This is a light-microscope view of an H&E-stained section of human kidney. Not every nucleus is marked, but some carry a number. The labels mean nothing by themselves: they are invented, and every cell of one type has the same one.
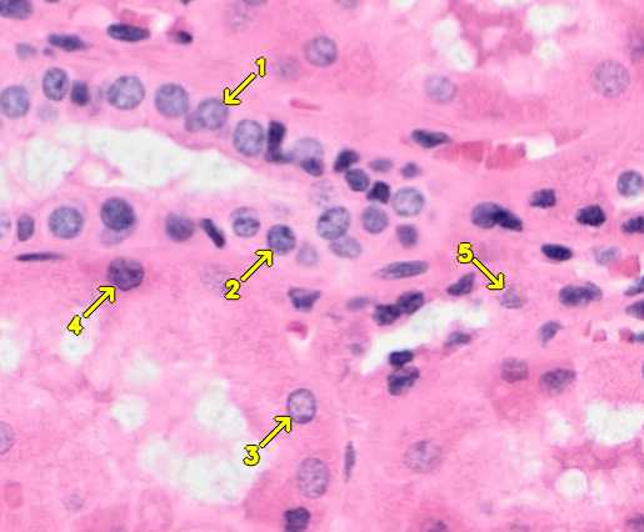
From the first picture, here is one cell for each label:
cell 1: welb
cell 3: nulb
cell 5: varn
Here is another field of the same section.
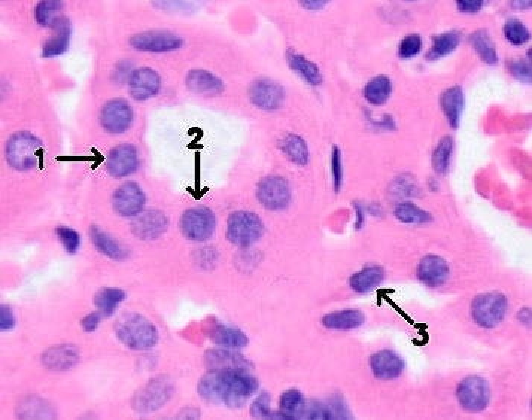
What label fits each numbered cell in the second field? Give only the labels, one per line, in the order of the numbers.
welb
welb
varn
